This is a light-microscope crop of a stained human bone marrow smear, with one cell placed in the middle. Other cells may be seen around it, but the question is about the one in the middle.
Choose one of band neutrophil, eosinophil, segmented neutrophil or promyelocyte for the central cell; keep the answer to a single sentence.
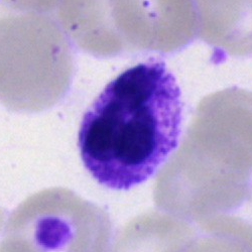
The cell centred in this crop is categorized as a segmented neutrophil.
